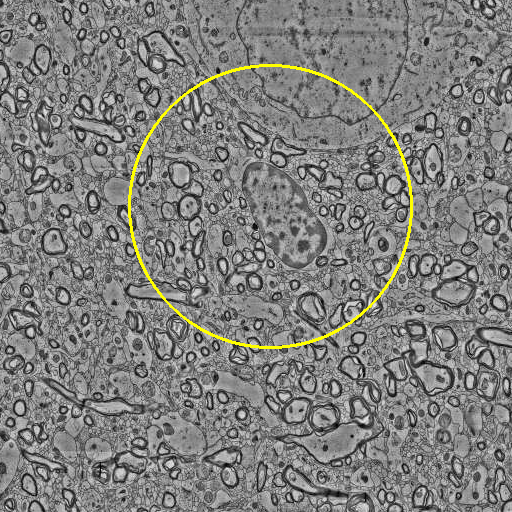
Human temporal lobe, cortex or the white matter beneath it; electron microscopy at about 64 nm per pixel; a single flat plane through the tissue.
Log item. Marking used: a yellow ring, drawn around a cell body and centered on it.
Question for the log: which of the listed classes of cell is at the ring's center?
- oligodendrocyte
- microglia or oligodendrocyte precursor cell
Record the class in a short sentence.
At the center of the ring lies a microglial cell or oligodendrocyte precursor cell.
